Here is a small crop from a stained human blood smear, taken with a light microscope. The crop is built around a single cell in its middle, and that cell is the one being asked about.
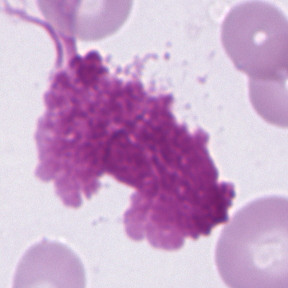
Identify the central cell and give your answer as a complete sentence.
The cell at the central position in this crop is a smudge cell.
